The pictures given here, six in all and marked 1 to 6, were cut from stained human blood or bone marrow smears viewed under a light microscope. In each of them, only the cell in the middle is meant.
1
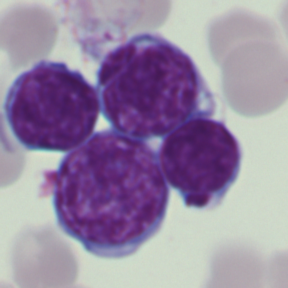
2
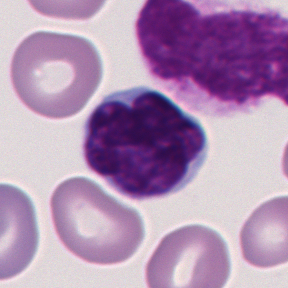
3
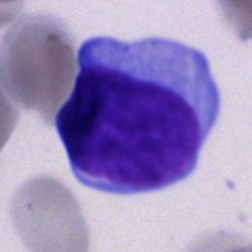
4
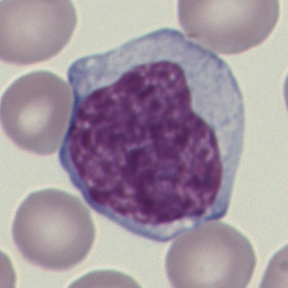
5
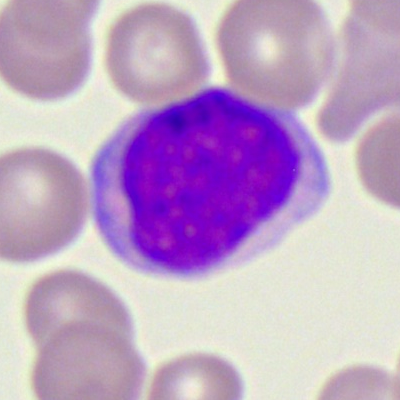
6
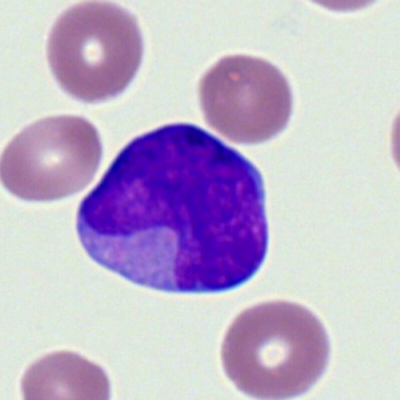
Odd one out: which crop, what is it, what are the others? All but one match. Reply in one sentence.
Crop 2 stands apart as a lymphocyte, whereas the remaining crops all show blasts.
